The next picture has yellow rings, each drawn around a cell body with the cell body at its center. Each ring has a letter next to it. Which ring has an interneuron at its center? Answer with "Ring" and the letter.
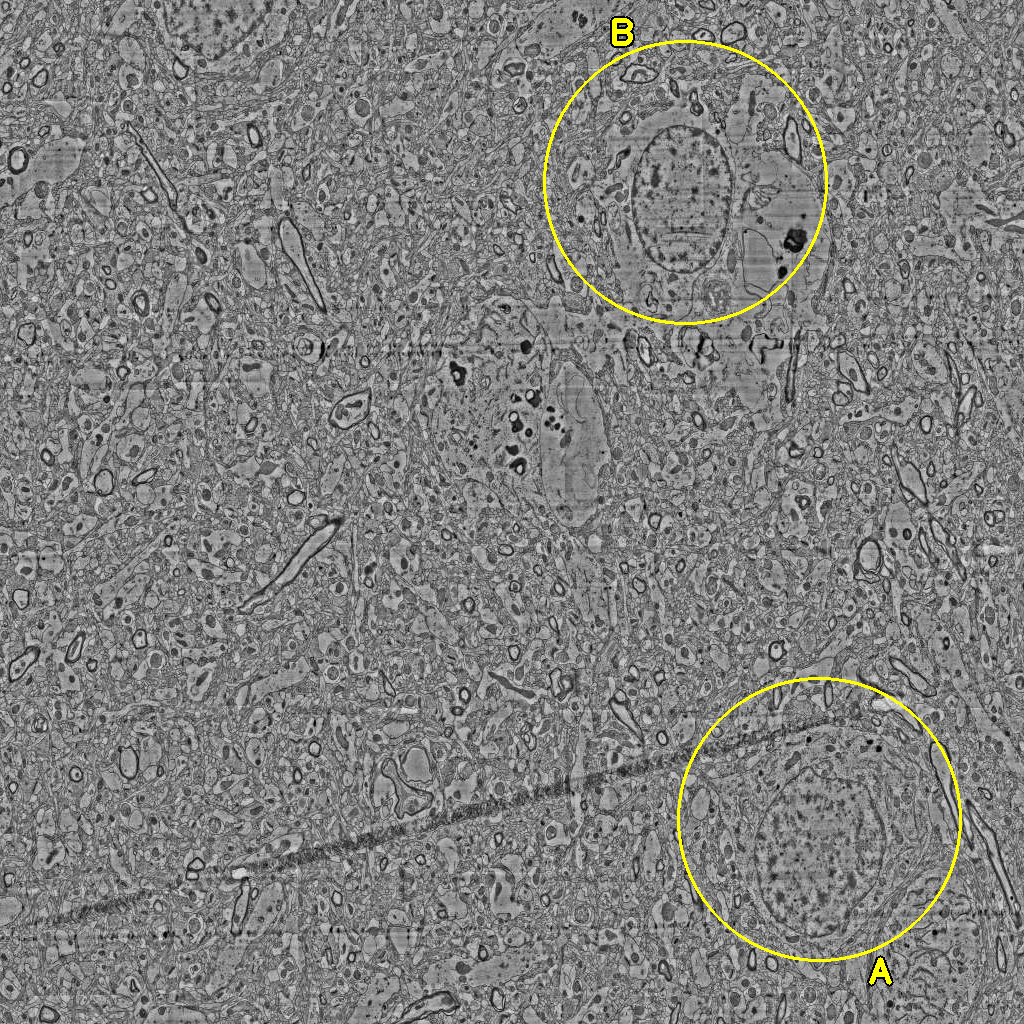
Ring A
